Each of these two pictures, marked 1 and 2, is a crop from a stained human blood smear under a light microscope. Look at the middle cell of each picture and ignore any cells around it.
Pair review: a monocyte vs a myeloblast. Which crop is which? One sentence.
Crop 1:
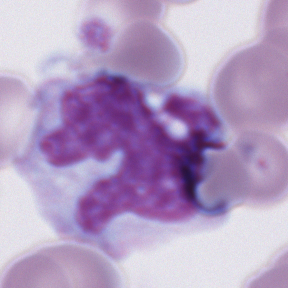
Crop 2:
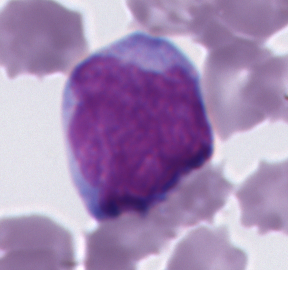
Crop 1 depicts a monocyte, and a myeloblast is depicted in crop 2.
